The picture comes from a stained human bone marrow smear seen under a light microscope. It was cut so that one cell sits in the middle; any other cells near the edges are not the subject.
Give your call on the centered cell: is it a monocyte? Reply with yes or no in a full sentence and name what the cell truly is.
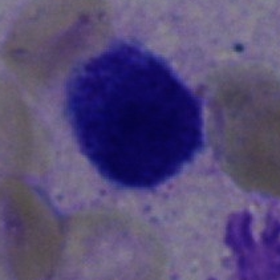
No, the cell placed at the center is a lymphocyte rather than a monocyte.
